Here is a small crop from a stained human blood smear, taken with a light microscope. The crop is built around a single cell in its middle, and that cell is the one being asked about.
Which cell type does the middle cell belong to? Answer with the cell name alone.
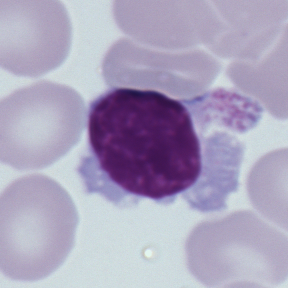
large granular lymphocyte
